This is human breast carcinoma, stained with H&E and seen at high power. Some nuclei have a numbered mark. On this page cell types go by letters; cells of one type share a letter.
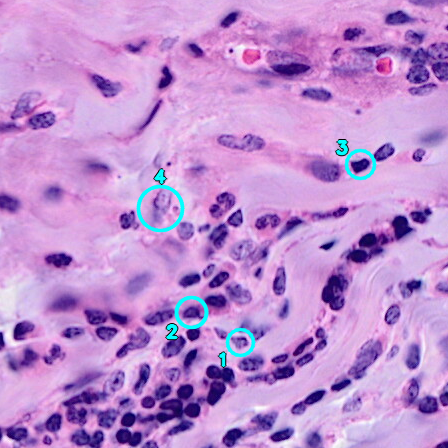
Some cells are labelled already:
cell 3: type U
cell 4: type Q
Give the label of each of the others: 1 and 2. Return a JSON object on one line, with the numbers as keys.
{"1": "type U", "2": "type U"}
